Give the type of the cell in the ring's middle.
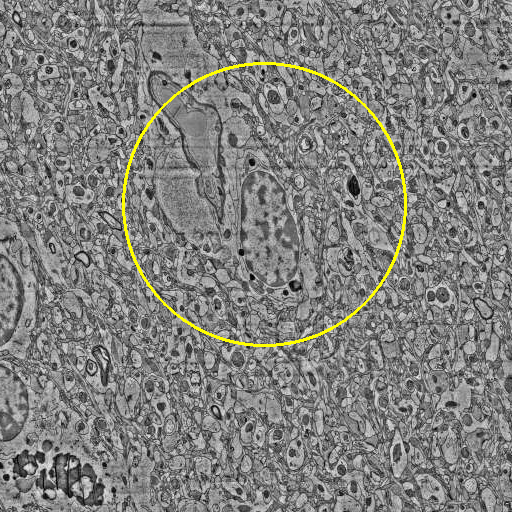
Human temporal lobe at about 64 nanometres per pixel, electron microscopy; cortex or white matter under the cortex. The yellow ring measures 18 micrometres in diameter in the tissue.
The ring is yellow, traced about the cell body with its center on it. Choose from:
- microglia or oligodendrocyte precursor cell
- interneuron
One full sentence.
Here, a microglial cell or oligodendrocyte precursor cell is the cell lying at the center of the yellow ring.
